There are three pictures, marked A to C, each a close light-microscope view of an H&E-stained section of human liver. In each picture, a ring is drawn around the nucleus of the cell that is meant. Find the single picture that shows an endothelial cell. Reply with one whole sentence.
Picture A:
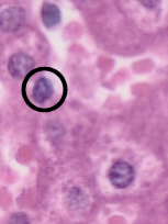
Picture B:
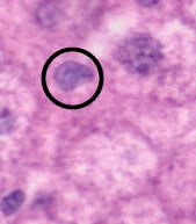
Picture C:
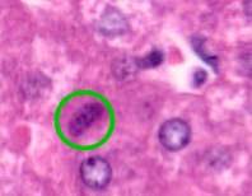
Picture B is the one that shows the endothelial cell.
